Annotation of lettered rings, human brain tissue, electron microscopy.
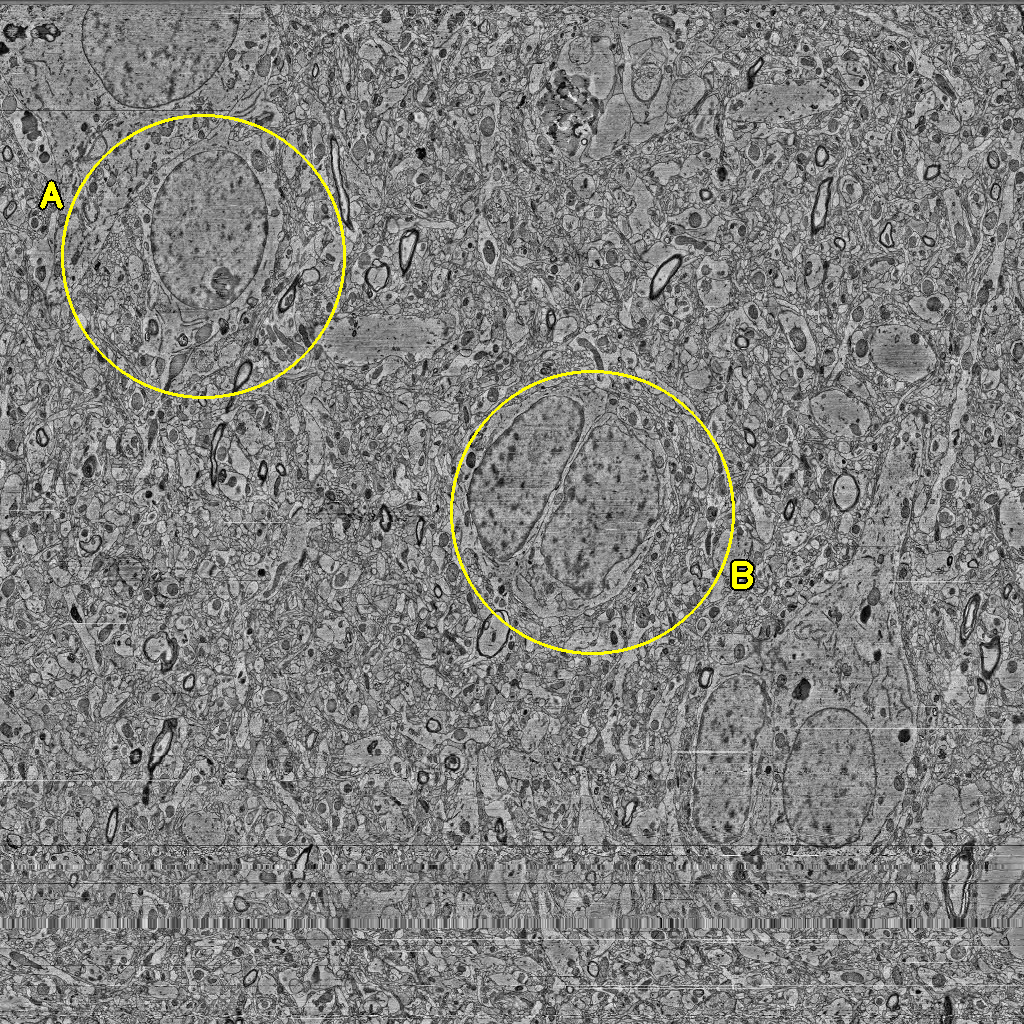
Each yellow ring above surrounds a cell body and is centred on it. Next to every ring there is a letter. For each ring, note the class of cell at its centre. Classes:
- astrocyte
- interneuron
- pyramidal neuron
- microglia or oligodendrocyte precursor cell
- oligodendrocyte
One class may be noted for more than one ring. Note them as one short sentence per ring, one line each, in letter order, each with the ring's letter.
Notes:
The class noted at ring A is an astrocyte.
The class noted at ring B is an interneuron.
